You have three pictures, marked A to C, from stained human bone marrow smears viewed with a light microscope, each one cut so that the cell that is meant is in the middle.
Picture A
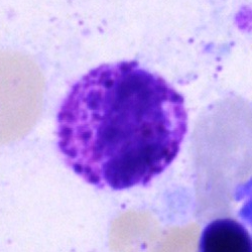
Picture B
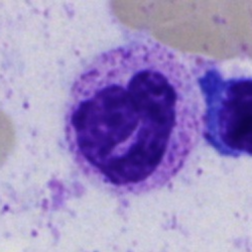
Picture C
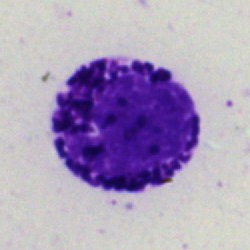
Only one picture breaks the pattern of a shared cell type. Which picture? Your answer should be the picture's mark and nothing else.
B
